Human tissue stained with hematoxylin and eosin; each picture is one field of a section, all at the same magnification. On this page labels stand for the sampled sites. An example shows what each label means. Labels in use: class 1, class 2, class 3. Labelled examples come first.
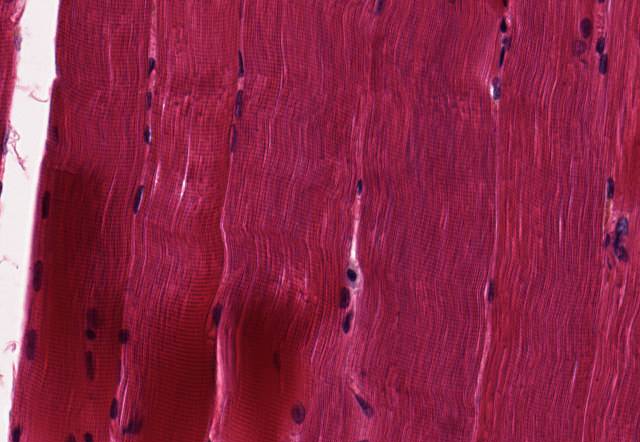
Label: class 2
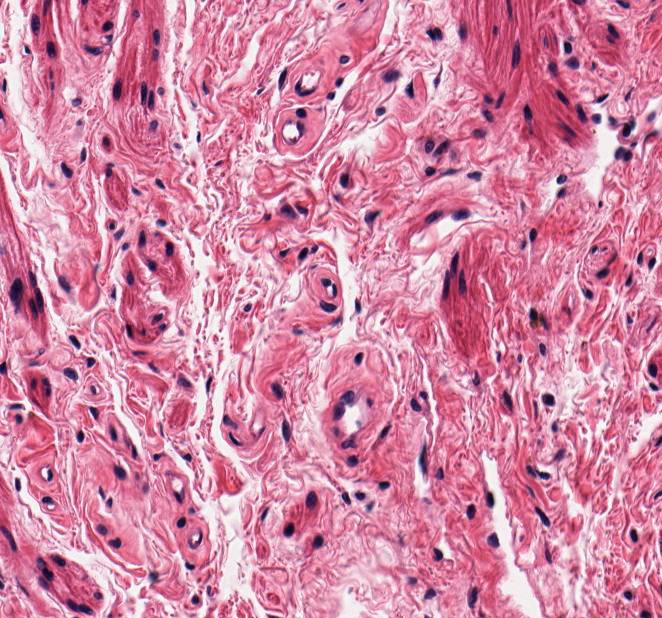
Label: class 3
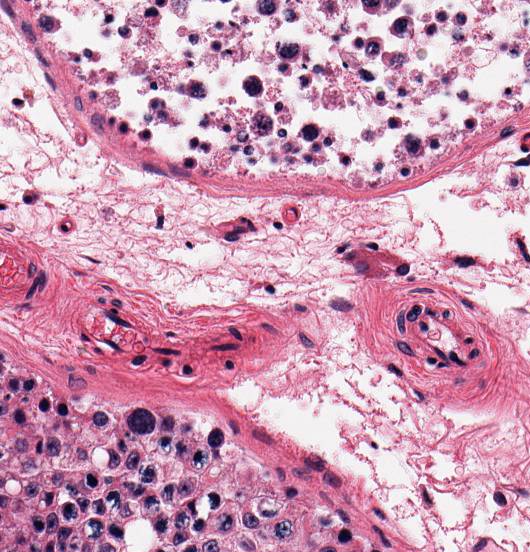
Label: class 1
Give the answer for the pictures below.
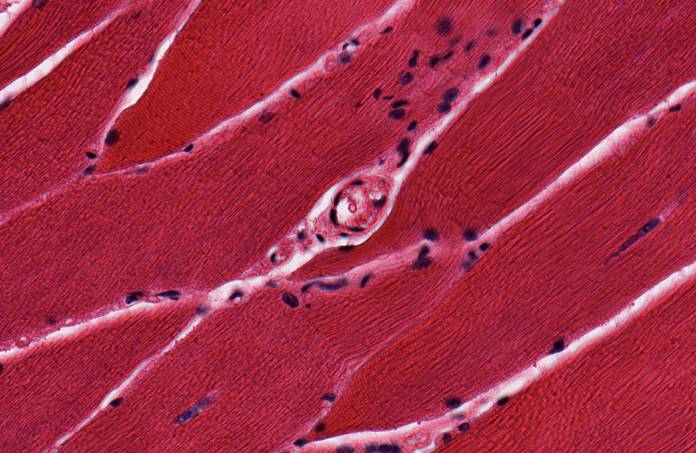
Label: class 2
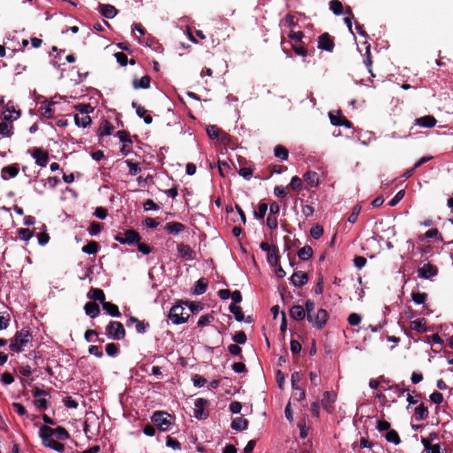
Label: class 1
